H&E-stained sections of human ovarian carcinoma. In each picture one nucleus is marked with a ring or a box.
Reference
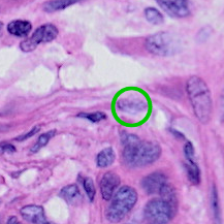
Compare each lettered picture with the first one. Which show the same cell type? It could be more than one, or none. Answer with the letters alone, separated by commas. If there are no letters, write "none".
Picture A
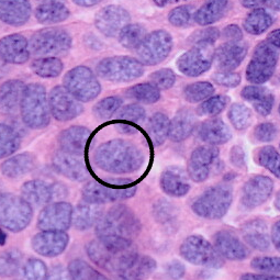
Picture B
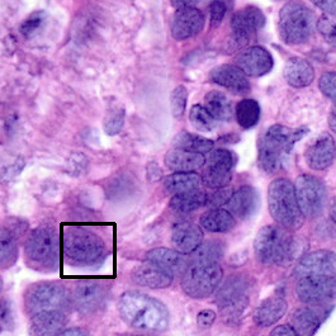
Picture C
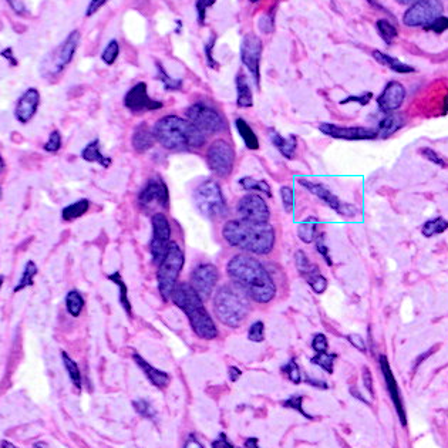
C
